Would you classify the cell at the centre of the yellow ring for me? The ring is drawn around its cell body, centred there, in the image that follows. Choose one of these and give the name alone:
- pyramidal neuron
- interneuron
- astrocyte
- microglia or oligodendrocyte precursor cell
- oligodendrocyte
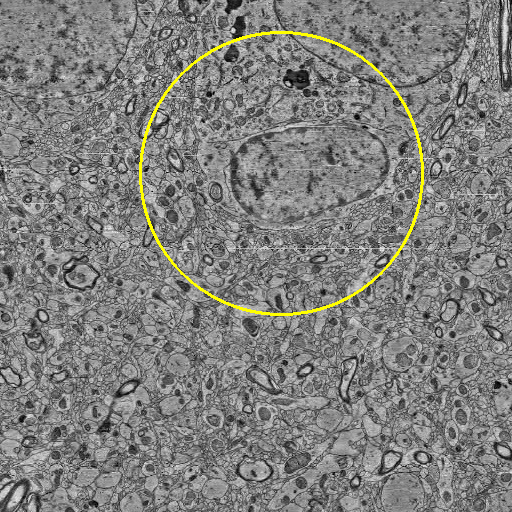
microglia or oligodendrocyte precursor cell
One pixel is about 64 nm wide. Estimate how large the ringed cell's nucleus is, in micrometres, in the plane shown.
In this plane, about 10 by 6 micrometres: the nucleus is clearly longer than it is wide.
